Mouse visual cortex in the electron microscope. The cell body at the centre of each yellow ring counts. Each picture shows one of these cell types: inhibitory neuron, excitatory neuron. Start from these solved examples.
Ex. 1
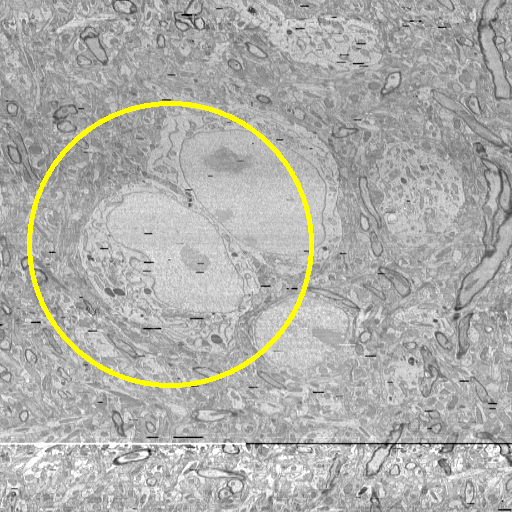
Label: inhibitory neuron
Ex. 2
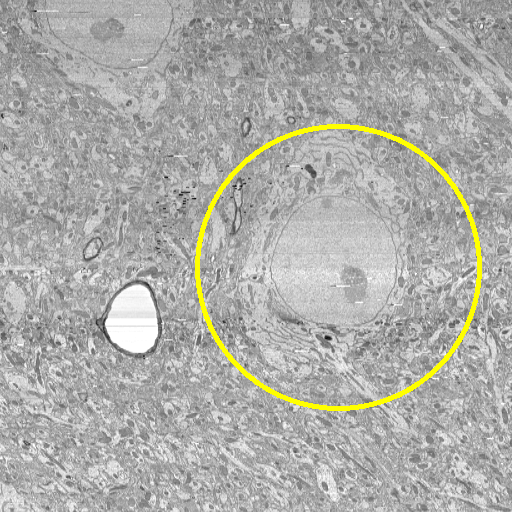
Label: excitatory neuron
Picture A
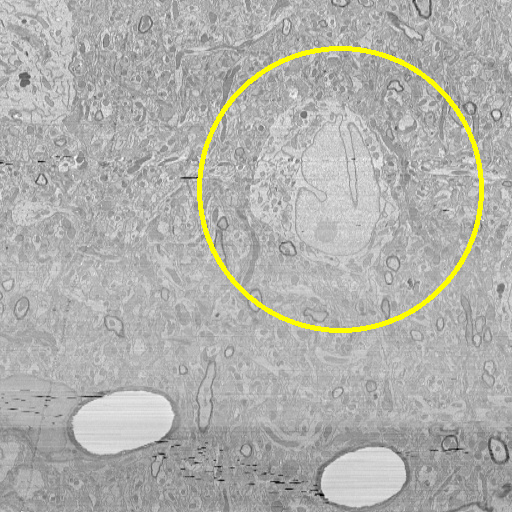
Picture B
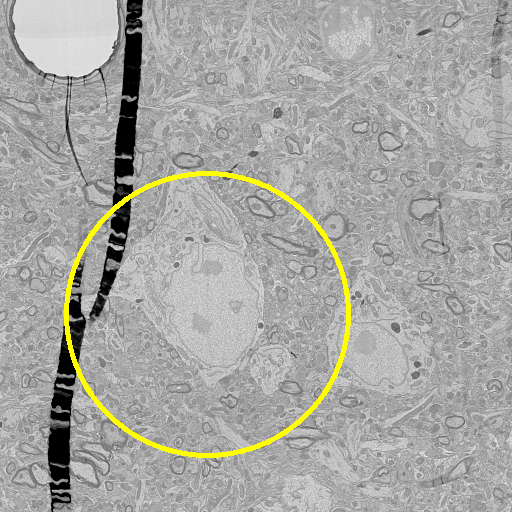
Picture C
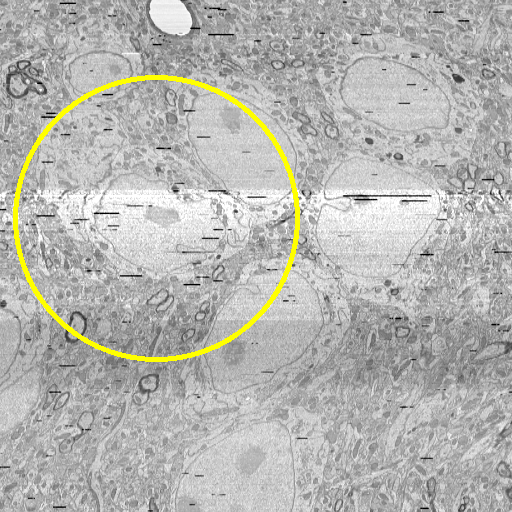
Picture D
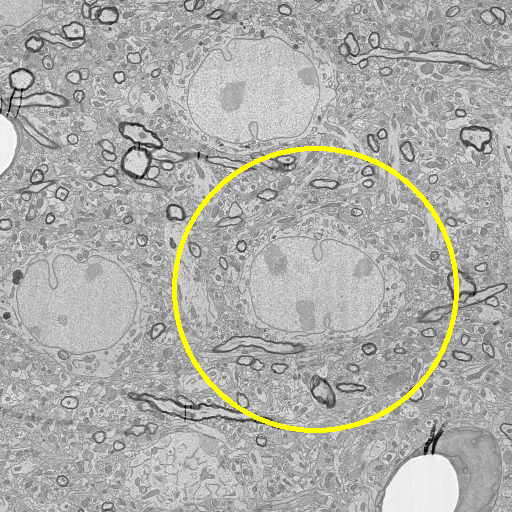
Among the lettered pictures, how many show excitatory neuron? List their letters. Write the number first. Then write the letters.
1: D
